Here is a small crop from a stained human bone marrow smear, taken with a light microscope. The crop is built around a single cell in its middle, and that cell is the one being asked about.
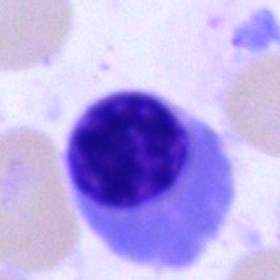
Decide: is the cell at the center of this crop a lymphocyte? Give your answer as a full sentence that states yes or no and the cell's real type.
No, that would be an erythroblast, not a lymphocyte, for the cell at the centre.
